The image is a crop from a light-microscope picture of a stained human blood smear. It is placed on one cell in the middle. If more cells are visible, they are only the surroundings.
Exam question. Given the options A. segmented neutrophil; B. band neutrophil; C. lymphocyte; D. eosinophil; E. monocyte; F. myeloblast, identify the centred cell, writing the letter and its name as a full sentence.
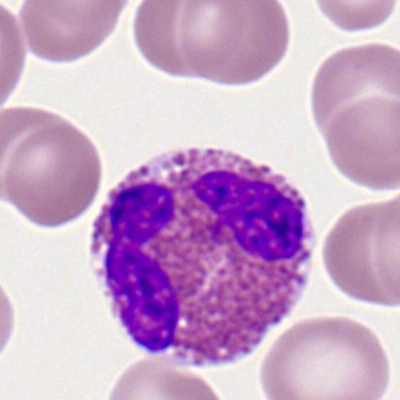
The cell in the middle is correctly identified as an eosinophil in option D.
